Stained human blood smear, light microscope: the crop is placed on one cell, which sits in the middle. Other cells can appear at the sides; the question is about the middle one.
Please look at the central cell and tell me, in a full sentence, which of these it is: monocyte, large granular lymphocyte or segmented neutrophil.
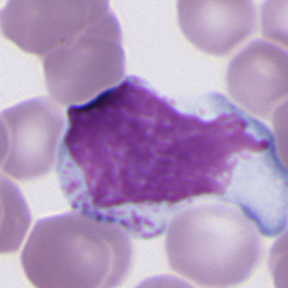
In the central position of this crop, the cell is a large granular lymphocyte.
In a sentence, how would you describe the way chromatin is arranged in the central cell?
No coarse chromatin clumps are present; the pattern is fine.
